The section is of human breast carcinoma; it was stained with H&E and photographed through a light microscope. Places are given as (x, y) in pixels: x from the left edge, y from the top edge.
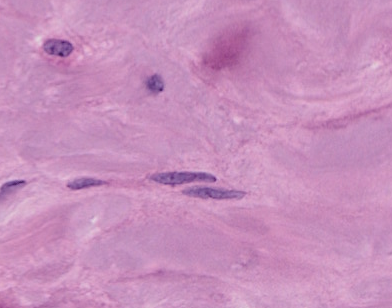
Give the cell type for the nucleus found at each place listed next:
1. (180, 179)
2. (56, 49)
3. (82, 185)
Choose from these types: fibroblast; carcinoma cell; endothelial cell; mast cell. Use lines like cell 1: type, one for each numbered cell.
cell 1: fibroblast
cell 2: mast cell
cell 3: fibroblast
